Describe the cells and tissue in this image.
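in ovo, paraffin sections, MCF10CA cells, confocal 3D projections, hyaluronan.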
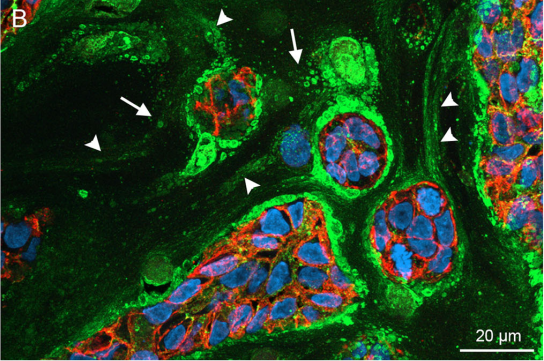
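Small rounded clusters and larger sheets of tumor cells sit within a broad green-stained extracellular matrix. The rounded clusters are wrapped by a thick, bright green rim, while the surrounding matrix is a dimmer green with thin brighter green streaks running through it. Small green globular bodies are scattered in the matrix near the clusters.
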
